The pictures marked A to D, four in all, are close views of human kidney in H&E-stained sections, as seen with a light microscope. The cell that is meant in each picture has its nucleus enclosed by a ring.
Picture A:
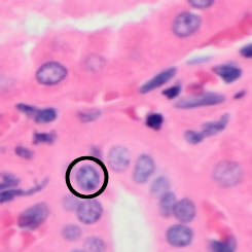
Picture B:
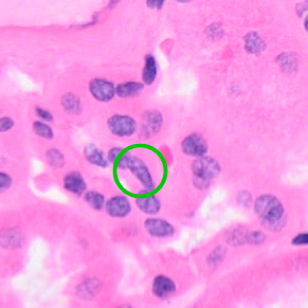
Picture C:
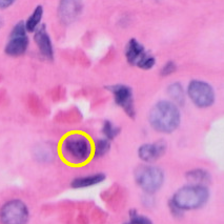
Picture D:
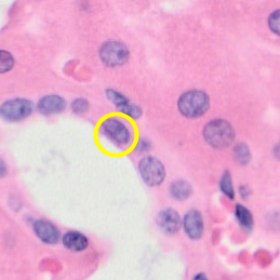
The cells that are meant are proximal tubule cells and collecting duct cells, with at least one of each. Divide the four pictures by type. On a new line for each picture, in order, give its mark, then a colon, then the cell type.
A: collecting duct cell
B: collecting duct cell
C: proximal tubule cell
D: collecting duct cell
